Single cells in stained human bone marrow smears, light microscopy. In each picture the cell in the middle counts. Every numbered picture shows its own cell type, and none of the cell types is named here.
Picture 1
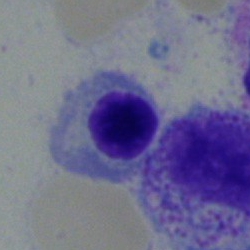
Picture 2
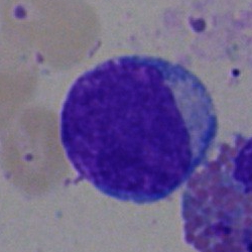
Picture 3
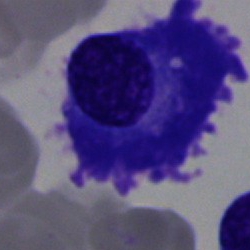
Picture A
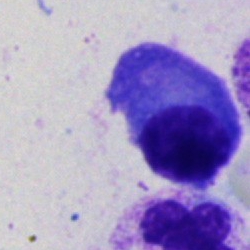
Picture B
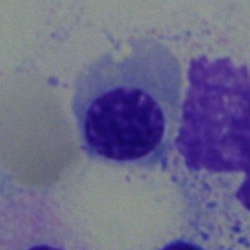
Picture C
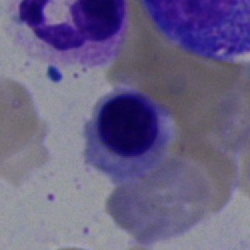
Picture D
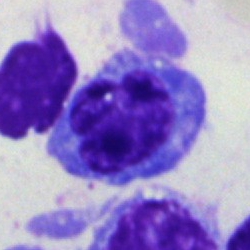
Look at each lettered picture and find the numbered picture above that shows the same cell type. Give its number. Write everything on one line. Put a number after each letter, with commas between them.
A 3, B 1, C 1, D 3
